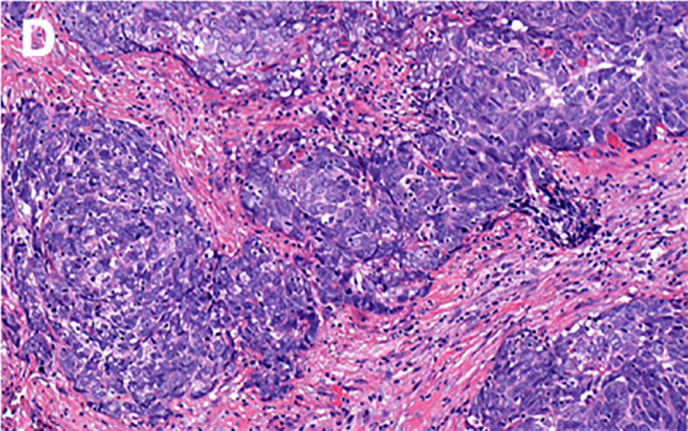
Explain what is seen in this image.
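This is a carcinoma made up of cohesive tumor nests set in fibrous stroma with few lymphocytes. The nests are large, rounded to irregular, and composed of crowded cells with enlarged purple nuclei and little pale cytoplasm. Between the nests run bands of pink collagenous stroma containing spindle-shaped nuclei.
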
